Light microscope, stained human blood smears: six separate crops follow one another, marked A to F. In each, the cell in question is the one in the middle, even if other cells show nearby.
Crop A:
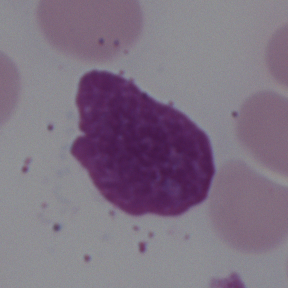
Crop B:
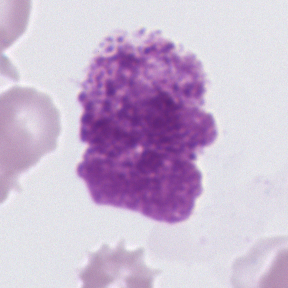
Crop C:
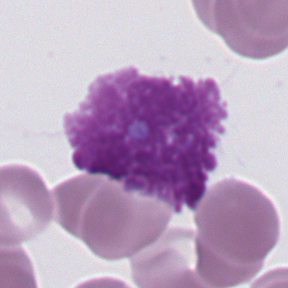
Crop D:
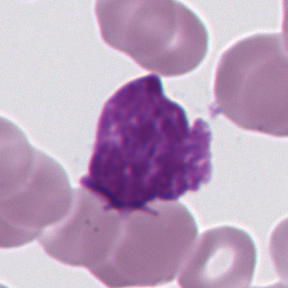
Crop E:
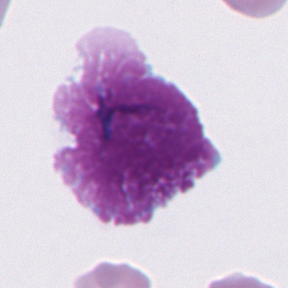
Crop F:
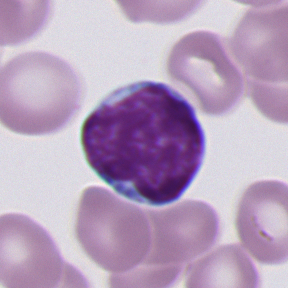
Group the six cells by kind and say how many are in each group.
smudge cell: 5
typical lymphocyte: 1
